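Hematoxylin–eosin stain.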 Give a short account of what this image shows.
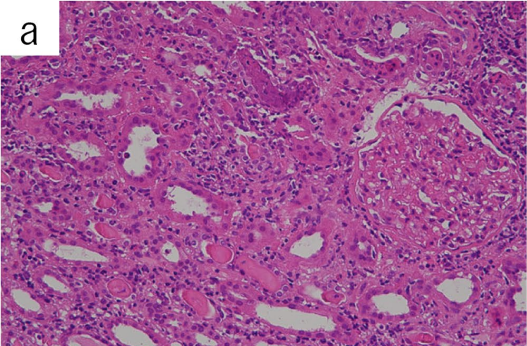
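Renal cortex with a glomerulus at the right and cross- and longitudinally cut tubules with pink cytoplasm, several containing pink casts in their lumens. The spaces between the tubules are crowded with small, dark, round nuclei of mononuclear inflammatory cells that push the tubules apart. The infiltrate is spread diffusely across the field rather than forming a single nodule, while the glomerulus itself appears relatively spared. This is a diffuse interstitial inflammatory infiltration.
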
